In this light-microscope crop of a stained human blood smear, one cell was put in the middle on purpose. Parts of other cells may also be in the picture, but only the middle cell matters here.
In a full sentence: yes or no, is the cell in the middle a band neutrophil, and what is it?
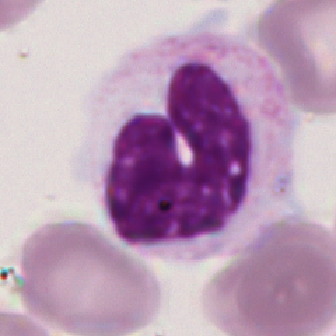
Yes, the cell of interest in the middle is a band neutrophil.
